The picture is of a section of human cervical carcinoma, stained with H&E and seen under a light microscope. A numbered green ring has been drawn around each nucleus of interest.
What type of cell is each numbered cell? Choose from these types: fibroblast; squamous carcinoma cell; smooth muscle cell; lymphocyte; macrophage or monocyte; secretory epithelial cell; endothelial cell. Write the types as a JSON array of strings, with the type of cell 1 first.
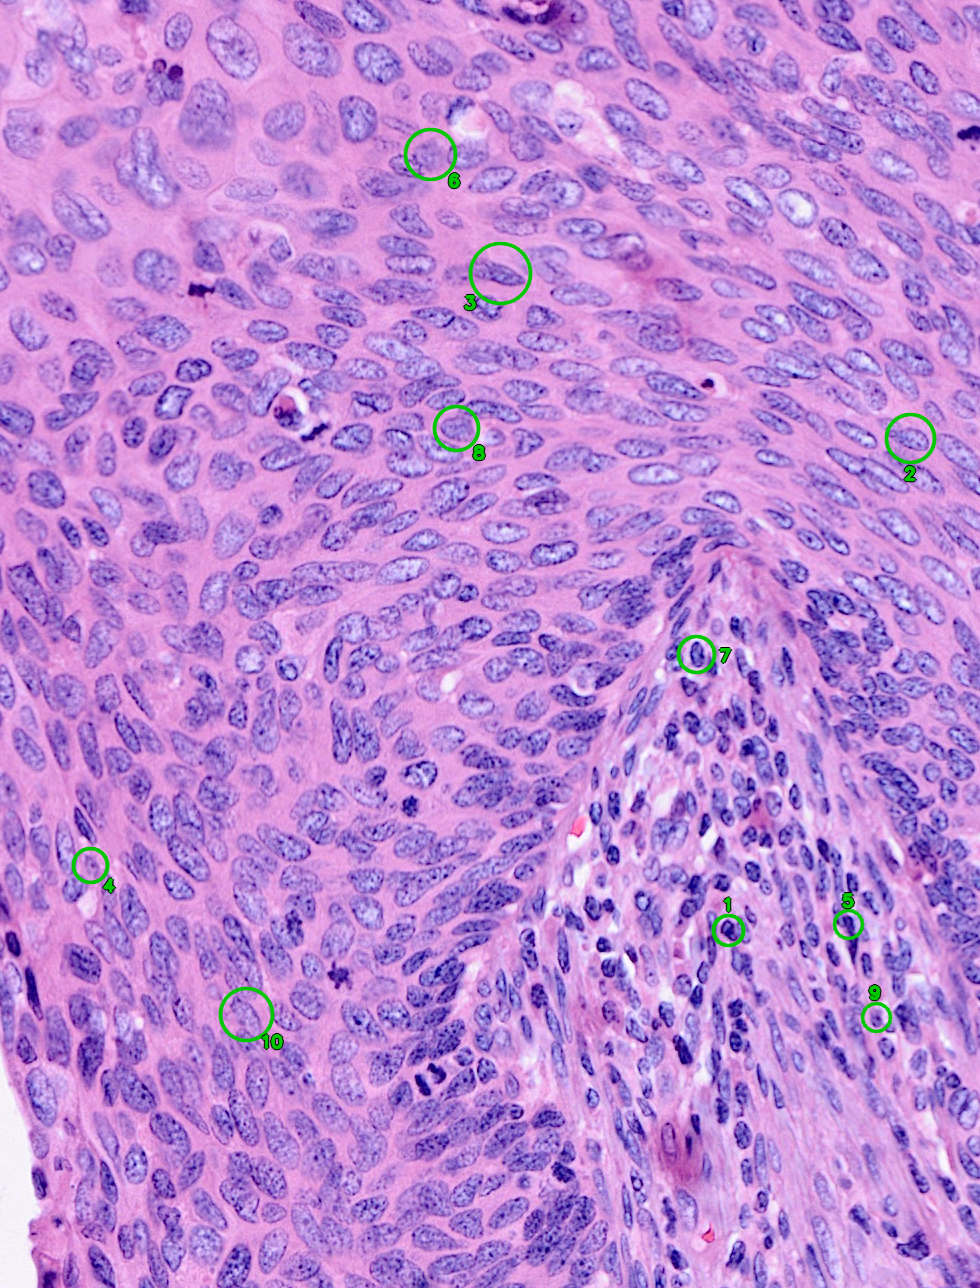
["lymphocyte", "squamous carcinoma cell", "squamous carcinoma cell", "squamous carcinoma cell", "lymphocyte", "squamous carcinoma cell", "lymphocyte", "squamous carcinoma cell", "lymphocyte", "squamous carcinoma cell"]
